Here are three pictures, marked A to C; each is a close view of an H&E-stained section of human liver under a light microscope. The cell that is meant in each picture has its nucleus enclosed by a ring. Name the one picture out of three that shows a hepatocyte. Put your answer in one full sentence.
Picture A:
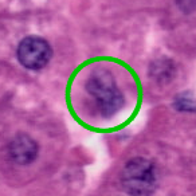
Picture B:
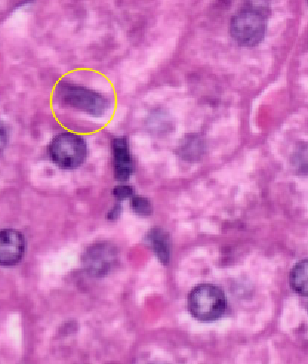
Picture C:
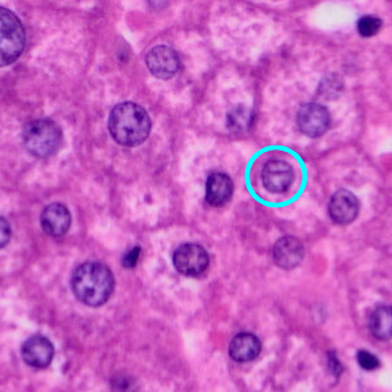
It is picture C that shows the hepatocyte.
